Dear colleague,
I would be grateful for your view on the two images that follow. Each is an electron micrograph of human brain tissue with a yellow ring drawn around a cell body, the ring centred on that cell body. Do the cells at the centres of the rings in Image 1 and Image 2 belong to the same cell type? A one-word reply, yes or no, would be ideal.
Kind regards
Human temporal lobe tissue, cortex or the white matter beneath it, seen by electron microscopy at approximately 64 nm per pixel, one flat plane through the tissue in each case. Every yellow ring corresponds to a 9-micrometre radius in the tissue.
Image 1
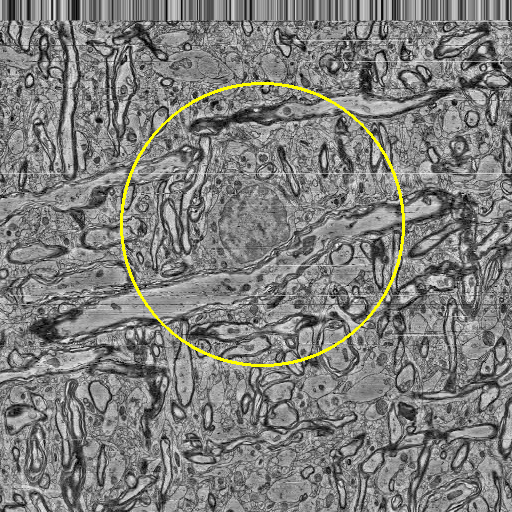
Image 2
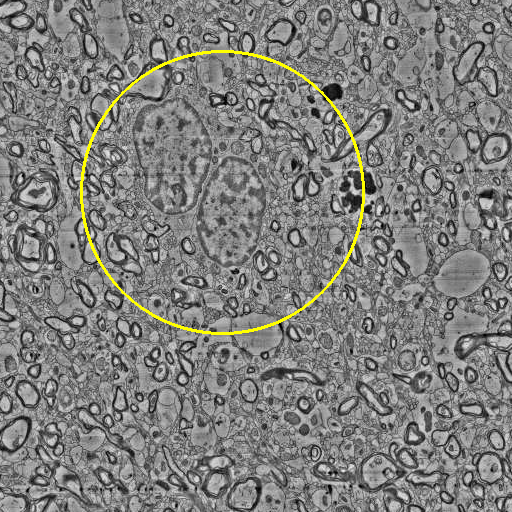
yes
